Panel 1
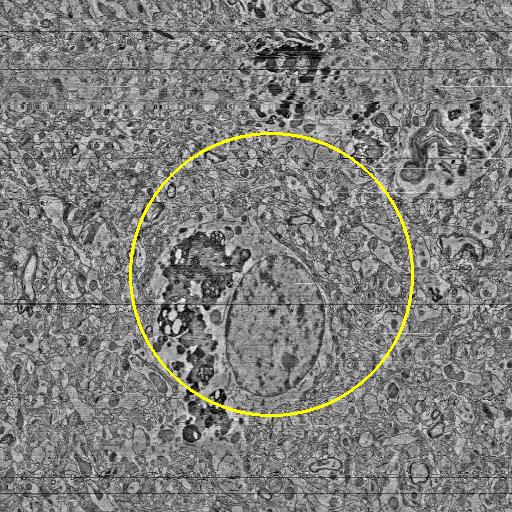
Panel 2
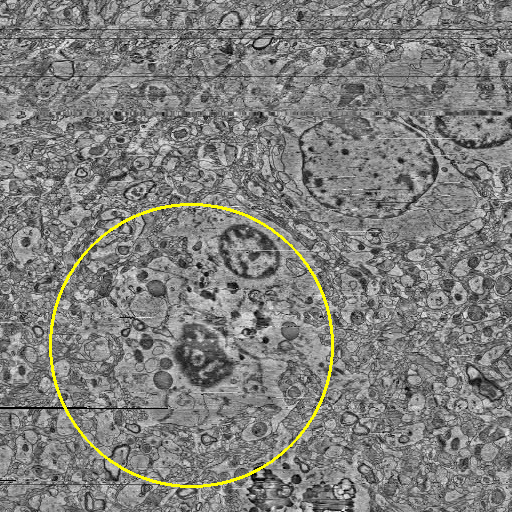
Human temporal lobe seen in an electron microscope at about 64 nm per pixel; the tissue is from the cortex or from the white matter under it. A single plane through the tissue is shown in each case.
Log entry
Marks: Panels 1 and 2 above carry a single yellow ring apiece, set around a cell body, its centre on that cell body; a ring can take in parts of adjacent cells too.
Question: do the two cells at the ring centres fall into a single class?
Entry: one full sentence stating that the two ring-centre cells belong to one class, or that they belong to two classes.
The two ring-centre cells in Panels 1 and 2 belong to one class.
